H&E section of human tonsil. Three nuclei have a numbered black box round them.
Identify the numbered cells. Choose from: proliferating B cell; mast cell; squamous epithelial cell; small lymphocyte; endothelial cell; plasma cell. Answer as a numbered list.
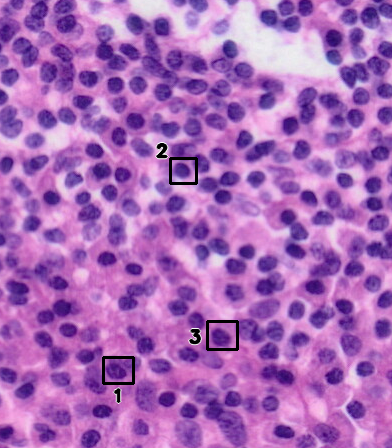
1. plasma cell
2. small lymphocyte
3. plasma cell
